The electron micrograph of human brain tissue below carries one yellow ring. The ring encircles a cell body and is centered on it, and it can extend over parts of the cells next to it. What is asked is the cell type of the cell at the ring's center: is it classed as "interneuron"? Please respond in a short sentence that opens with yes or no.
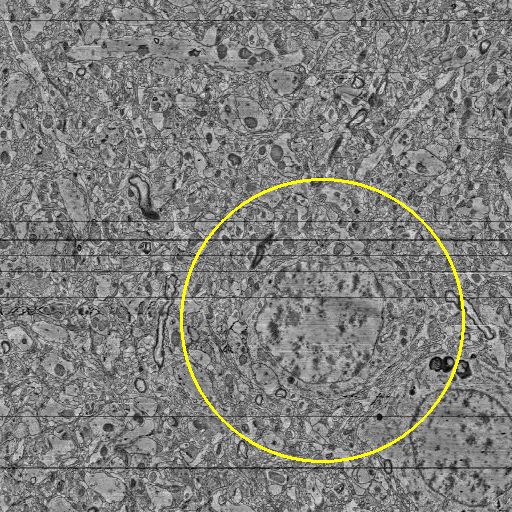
Yes, it is classed that way.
